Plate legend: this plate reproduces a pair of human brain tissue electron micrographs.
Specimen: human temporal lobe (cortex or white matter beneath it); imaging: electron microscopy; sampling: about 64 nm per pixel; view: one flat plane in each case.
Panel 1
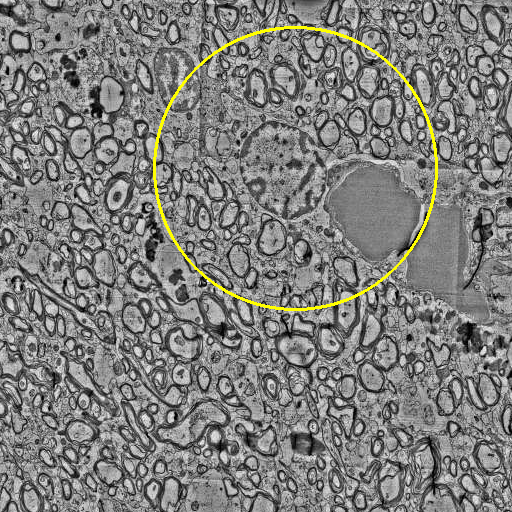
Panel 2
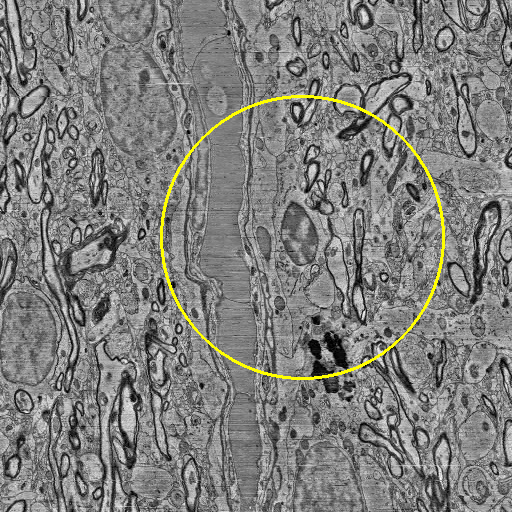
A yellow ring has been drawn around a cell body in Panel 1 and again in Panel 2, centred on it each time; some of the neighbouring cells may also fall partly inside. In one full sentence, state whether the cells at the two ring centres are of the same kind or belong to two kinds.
The ring-centred cells of Panel 1 and Panel 2 are of the same kind.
